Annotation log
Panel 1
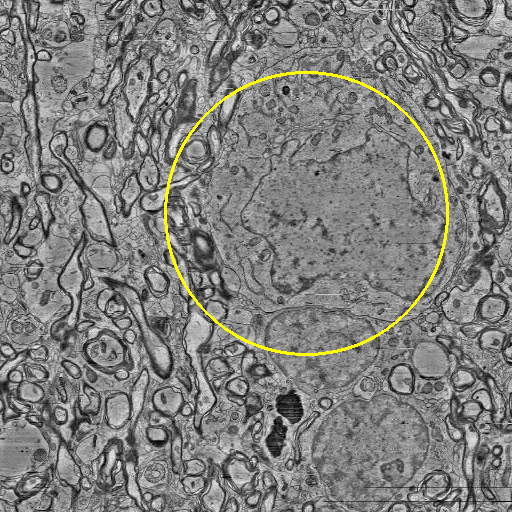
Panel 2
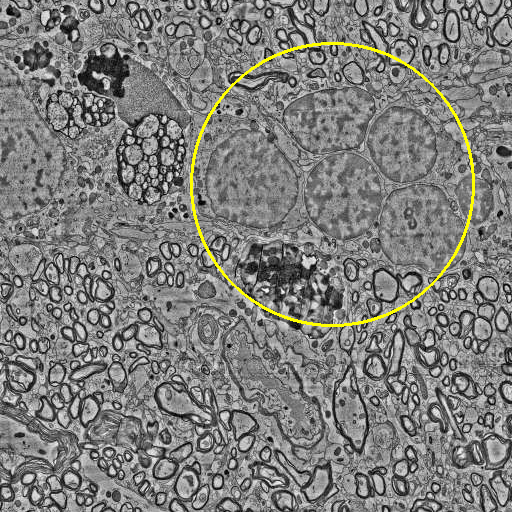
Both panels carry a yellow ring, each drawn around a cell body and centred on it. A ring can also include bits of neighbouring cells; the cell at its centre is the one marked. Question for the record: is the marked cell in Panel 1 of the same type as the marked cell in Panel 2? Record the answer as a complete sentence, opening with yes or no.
No, the marked cells in Panel 1 and Panel 2 are of two types.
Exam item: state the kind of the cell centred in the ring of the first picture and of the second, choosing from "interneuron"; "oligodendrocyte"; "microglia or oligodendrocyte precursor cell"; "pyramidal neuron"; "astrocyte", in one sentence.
The first picture shows an interneuron at the ring centre and the second shows an oligodendrocyte.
